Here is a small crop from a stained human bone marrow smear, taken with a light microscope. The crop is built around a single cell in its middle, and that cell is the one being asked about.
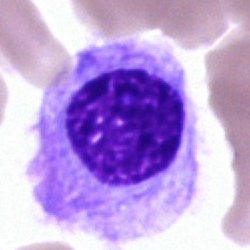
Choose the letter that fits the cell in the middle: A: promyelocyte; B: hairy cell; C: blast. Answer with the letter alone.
B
